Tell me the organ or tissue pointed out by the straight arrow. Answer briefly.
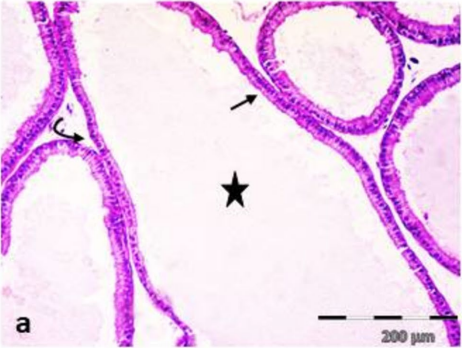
Simple columnar epithelium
